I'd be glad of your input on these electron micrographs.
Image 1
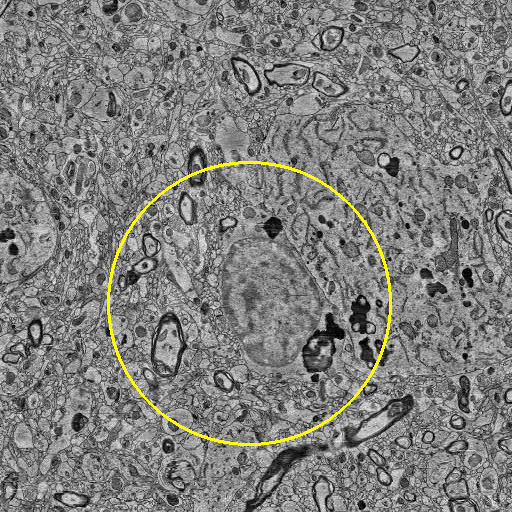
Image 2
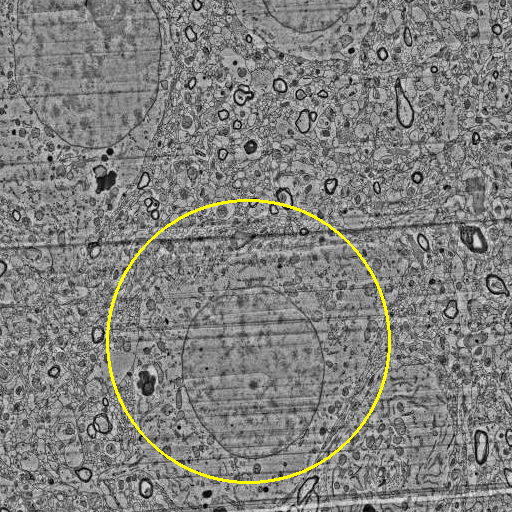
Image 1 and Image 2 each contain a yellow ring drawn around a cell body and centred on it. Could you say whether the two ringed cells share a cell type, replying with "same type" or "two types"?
two types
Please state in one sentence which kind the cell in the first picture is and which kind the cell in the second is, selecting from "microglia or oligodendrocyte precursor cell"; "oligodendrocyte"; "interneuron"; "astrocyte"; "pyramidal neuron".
The first ringed cell is an oligodendrocyte, the second ringed cell a pyramidal neuron.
